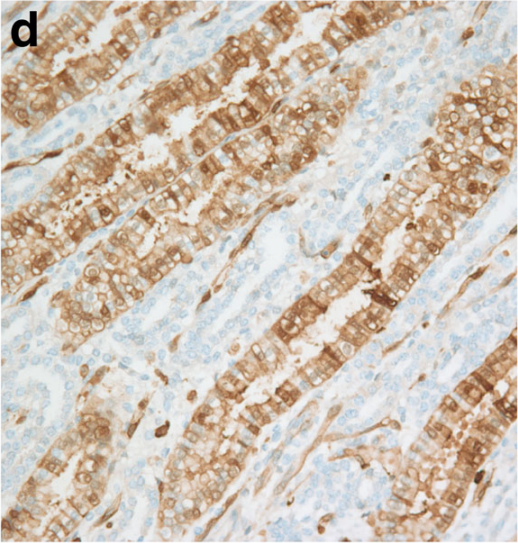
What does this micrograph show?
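A section of kidney with tubules cut lengthwise running diagonally across the field. Alternating with them are narrower tubules whose cells have pale cytoplasm and blue nuclei and are unstained. Thin interstitial spaces between tubules contain a few slender brown-stained cells.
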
